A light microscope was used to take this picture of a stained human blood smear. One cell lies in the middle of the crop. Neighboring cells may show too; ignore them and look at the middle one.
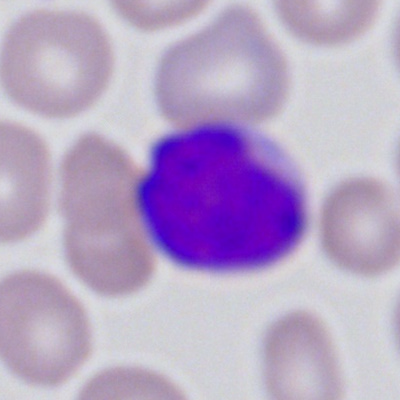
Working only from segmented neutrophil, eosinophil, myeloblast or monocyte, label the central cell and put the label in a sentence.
The cell positioned in the middle of the field is a myeloblast.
